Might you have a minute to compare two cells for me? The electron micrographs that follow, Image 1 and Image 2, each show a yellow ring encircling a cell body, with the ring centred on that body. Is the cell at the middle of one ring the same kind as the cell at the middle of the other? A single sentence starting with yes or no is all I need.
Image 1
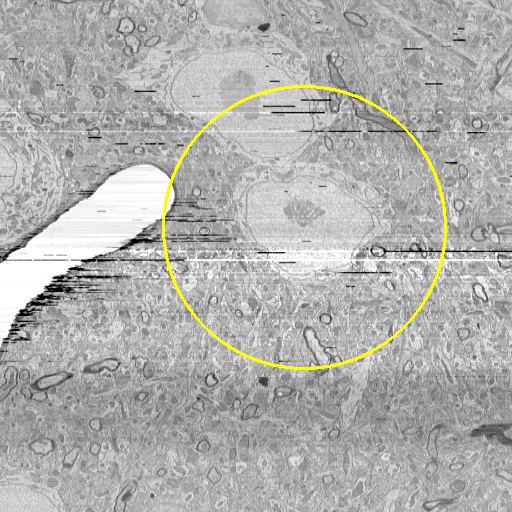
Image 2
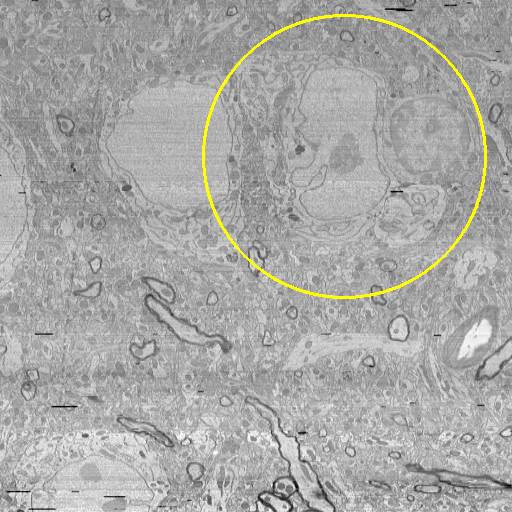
Yes, the cells in the middle of the two rings are of one shared kind.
